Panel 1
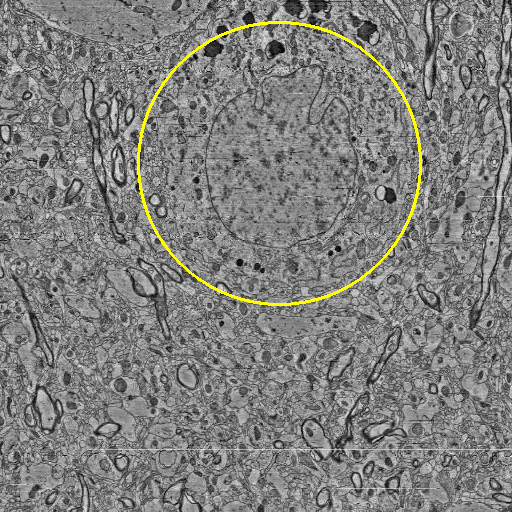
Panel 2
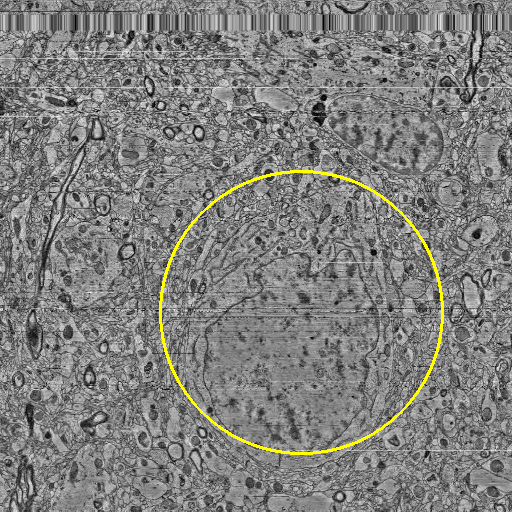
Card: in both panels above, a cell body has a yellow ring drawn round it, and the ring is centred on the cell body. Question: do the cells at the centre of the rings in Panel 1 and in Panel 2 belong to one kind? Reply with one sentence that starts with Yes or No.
No, the cells centred in the rings of Panel 1 and Panel 2 are two kinds of cell.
